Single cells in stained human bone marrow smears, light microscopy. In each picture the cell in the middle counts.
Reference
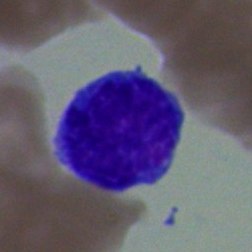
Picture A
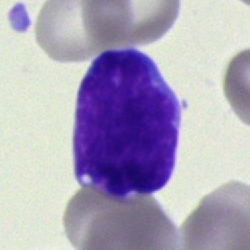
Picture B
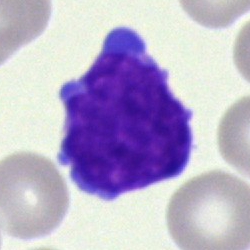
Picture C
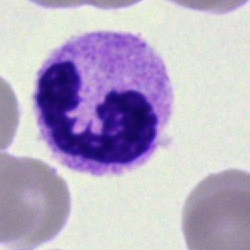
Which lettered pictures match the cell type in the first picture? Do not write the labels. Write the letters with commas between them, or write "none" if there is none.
A, B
